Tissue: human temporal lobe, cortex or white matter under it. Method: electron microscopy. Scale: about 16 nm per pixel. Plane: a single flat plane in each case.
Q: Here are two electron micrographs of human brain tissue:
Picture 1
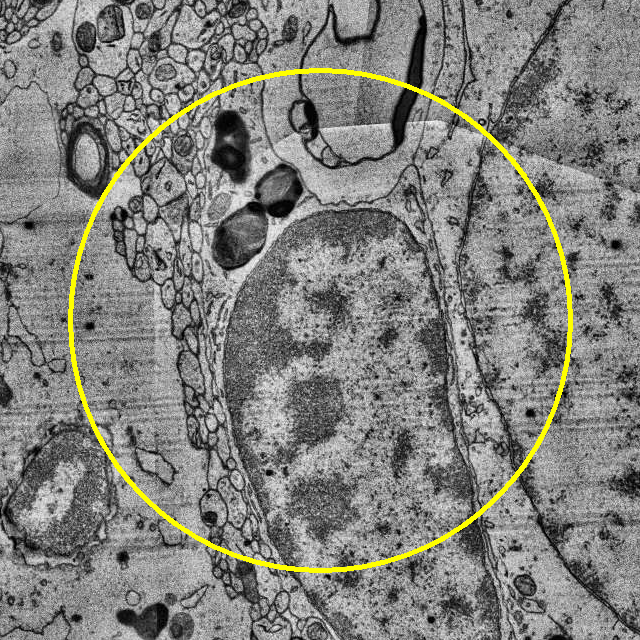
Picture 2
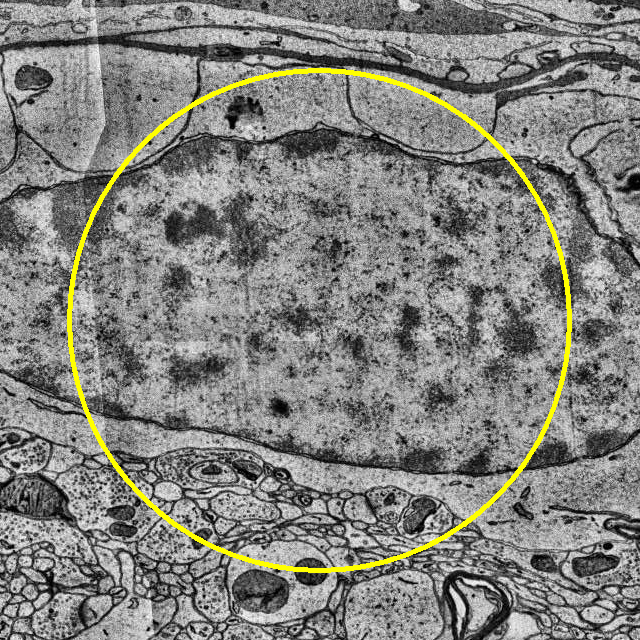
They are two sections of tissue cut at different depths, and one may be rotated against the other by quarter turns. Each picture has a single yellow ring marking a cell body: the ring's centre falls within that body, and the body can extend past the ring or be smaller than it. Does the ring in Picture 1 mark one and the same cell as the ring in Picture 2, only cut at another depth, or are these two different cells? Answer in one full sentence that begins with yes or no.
No, the two rings are not on the same cell.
